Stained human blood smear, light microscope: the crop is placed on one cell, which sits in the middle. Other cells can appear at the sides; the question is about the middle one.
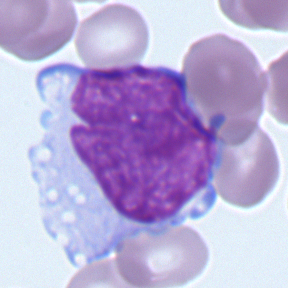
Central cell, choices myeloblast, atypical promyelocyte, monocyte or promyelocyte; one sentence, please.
The cell of interest, located centrally, is a myeloblast.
